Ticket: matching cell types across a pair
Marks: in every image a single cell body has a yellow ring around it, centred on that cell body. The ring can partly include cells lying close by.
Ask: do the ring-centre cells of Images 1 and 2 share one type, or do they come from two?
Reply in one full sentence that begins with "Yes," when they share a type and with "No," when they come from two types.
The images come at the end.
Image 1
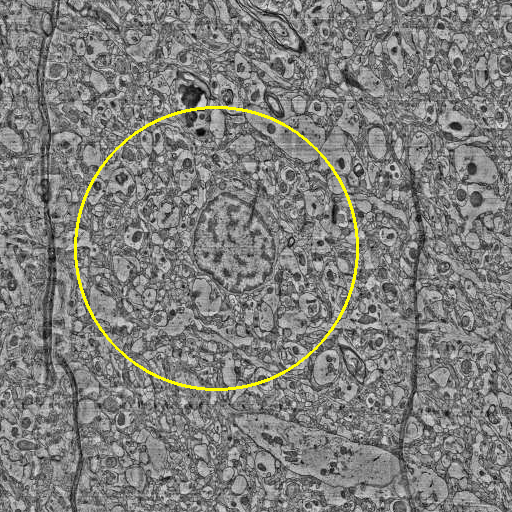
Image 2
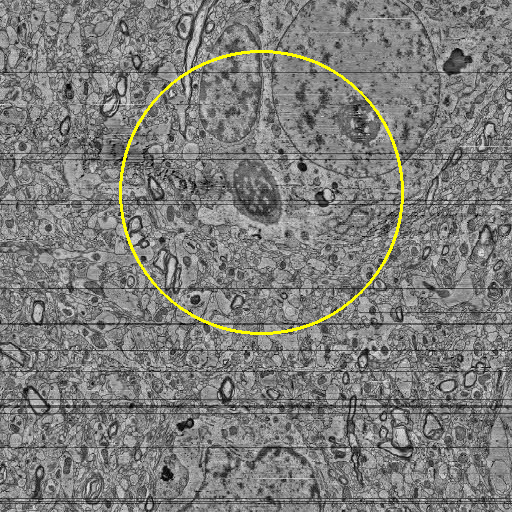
Yes, the cells in the centres of the rings in Image 1 and Image 2 share one type.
